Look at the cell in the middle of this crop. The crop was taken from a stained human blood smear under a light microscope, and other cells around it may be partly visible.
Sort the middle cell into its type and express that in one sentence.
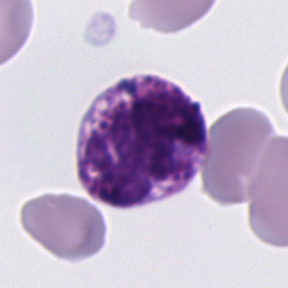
The cell marked by its central position in the crop is a basophil.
